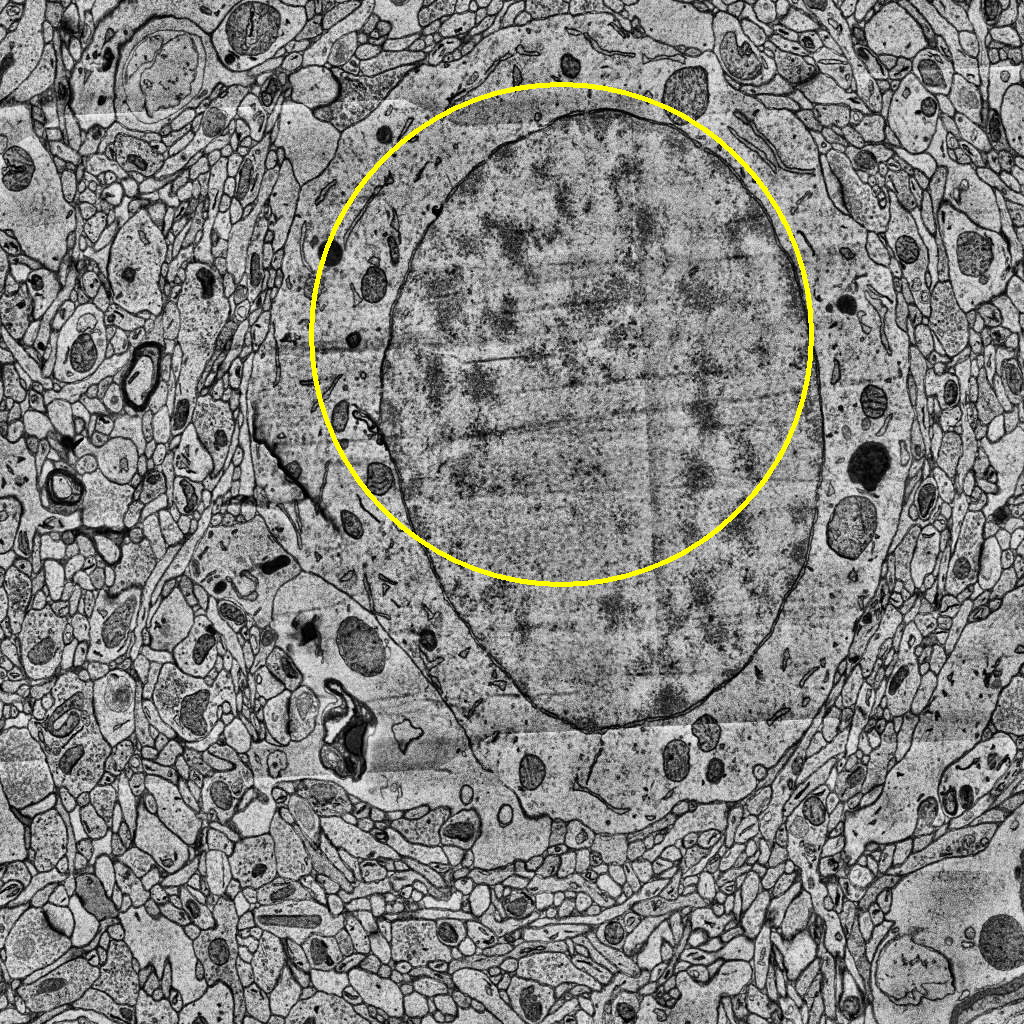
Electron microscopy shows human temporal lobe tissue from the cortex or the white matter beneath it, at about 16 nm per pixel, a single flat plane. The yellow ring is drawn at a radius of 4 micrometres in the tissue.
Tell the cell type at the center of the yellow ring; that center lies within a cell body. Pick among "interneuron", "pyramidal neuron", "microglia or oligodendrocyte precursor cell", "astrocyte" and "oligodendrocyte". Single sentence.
The ring's center lies in the body of a pyramidal neuron.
